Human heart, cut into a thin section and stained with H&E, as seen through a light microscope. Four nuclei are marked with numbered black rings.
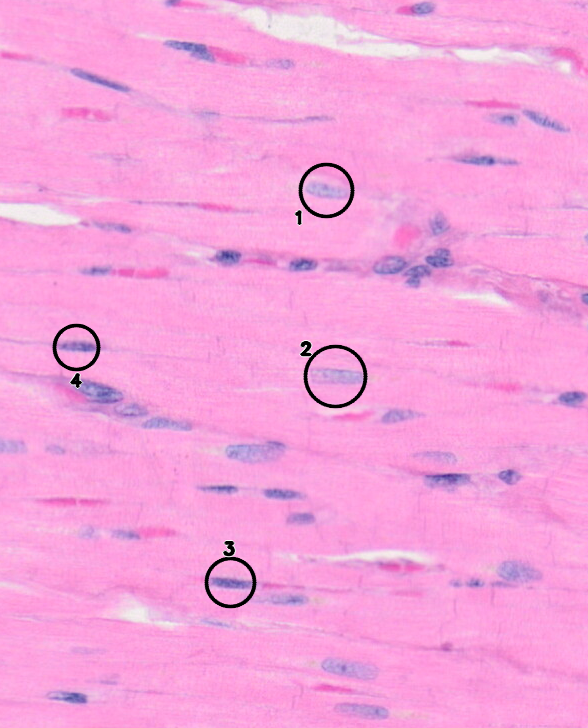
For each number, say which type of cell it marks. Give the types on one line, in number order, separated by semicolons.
cardiomyocyte; cardiomyocyte; endothelial cell; endothelial cell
